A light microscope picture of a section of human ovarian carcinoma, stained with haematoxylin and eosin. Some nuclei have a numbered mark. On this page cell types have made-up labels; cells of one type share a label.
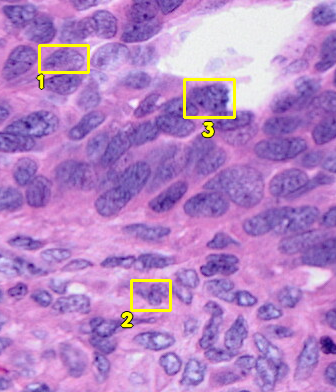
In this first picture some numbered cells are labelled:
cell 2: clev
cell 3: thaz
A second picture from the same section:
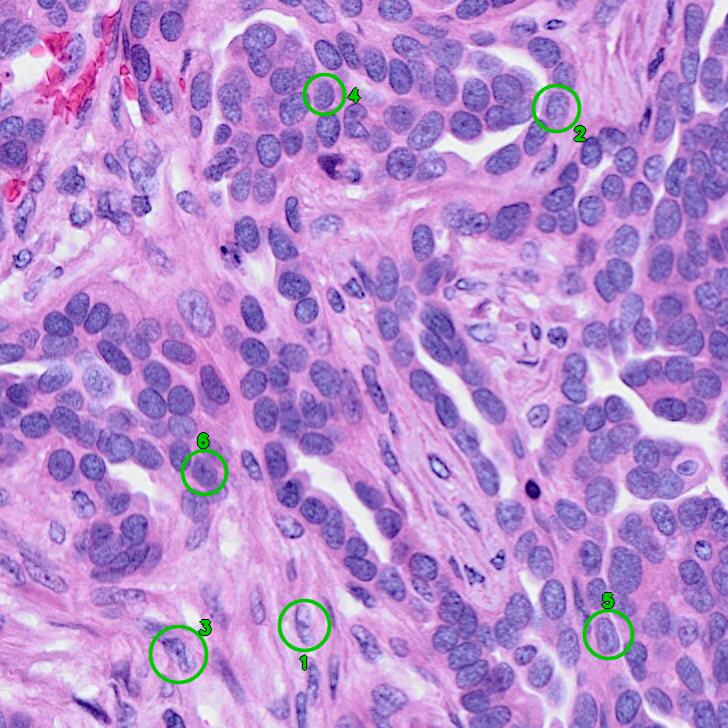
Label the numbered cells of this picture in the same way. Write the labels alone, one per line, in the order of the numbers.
clev
thaz
clev
thaz
thaz
thaz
